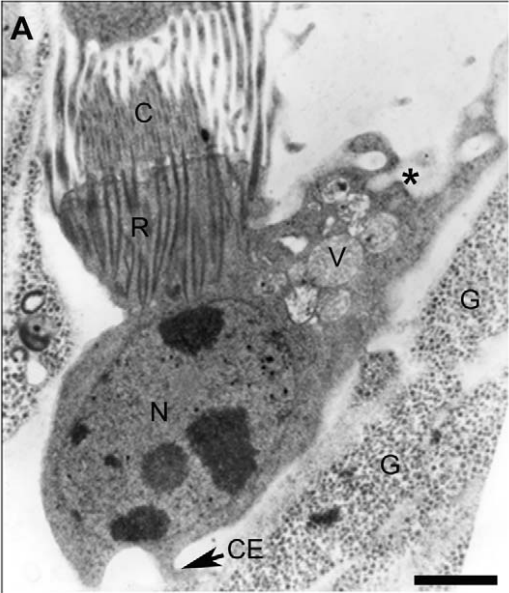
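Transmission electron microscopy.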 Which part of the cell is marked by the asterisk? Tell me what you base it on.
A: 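Membrane invaginations. The asterisk lies at an infolding of the cell surface. Vesicles lie in the cytoplasm next to it.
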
